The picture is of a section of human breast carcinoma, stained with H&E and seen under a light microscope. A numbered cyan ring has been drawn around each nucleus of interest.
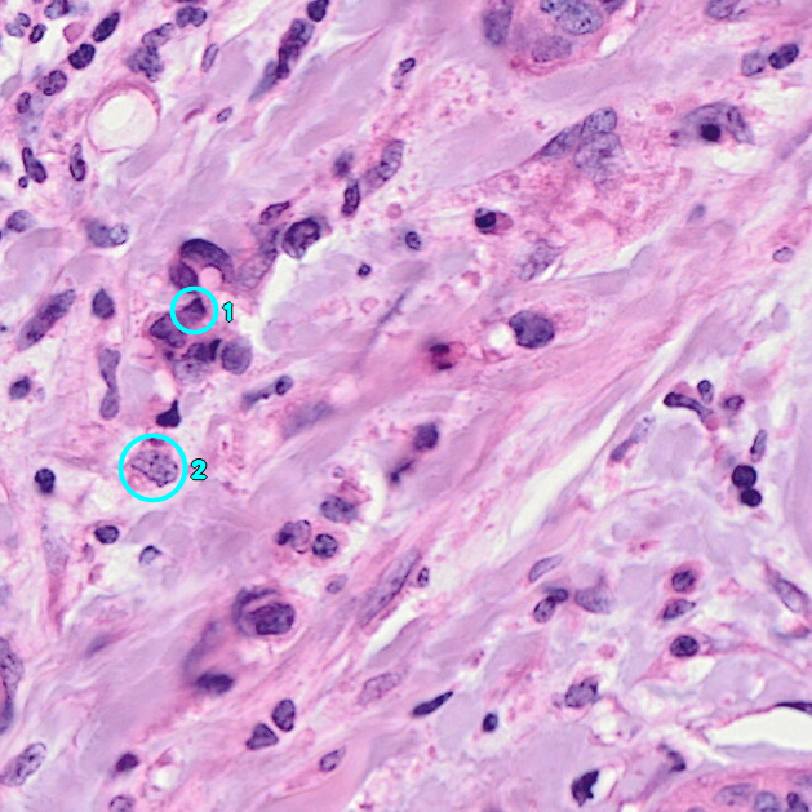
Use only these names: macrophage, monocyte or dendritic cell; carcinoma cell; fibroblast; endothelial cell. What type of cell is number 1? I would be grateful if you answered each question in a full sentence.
Among the marked nuclei, number 1 belongs to a carcinoma cell.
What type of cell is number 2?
Heads up, the cell numbered 2 is a macrophage, monocyte or dendritic cell.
